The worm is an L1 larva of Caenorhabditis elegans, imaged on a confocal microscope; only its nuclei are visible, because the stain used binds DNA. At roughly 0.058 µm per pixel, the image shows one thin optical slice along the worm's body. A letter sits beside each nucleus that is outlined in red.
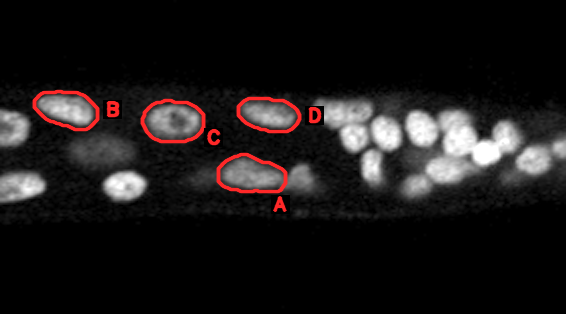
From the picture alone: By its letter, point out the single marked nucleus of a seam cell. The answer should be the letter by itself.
C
